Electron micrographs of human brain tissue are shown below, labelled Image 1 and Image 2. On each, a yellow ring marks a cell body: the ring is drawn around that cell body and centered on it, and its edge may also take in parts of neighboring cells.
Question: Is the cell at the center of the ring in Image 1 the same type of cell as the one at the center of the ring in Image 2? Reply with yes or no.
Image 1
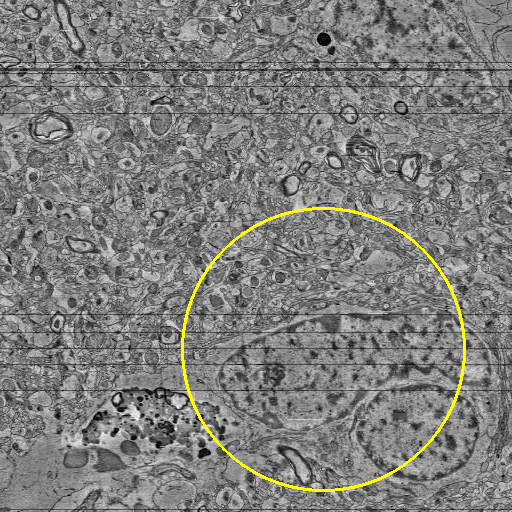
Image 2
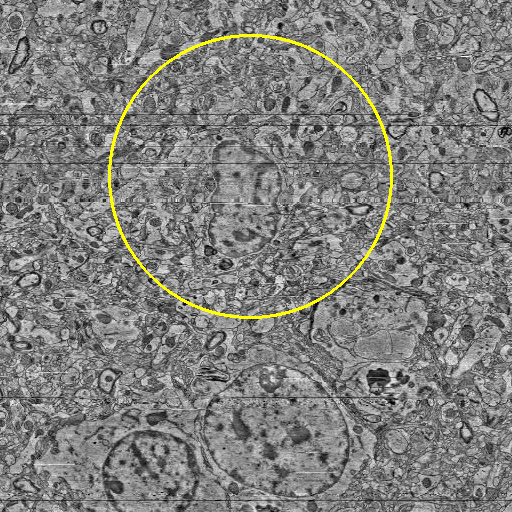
yes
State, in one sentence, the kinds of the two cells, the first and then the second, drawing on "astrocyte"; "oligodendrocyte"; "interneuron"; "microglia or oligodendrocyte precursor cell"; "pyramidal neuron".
The ring centre holds a microglial cell or oligodendrocyte precursor cell in each of the two pictures.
